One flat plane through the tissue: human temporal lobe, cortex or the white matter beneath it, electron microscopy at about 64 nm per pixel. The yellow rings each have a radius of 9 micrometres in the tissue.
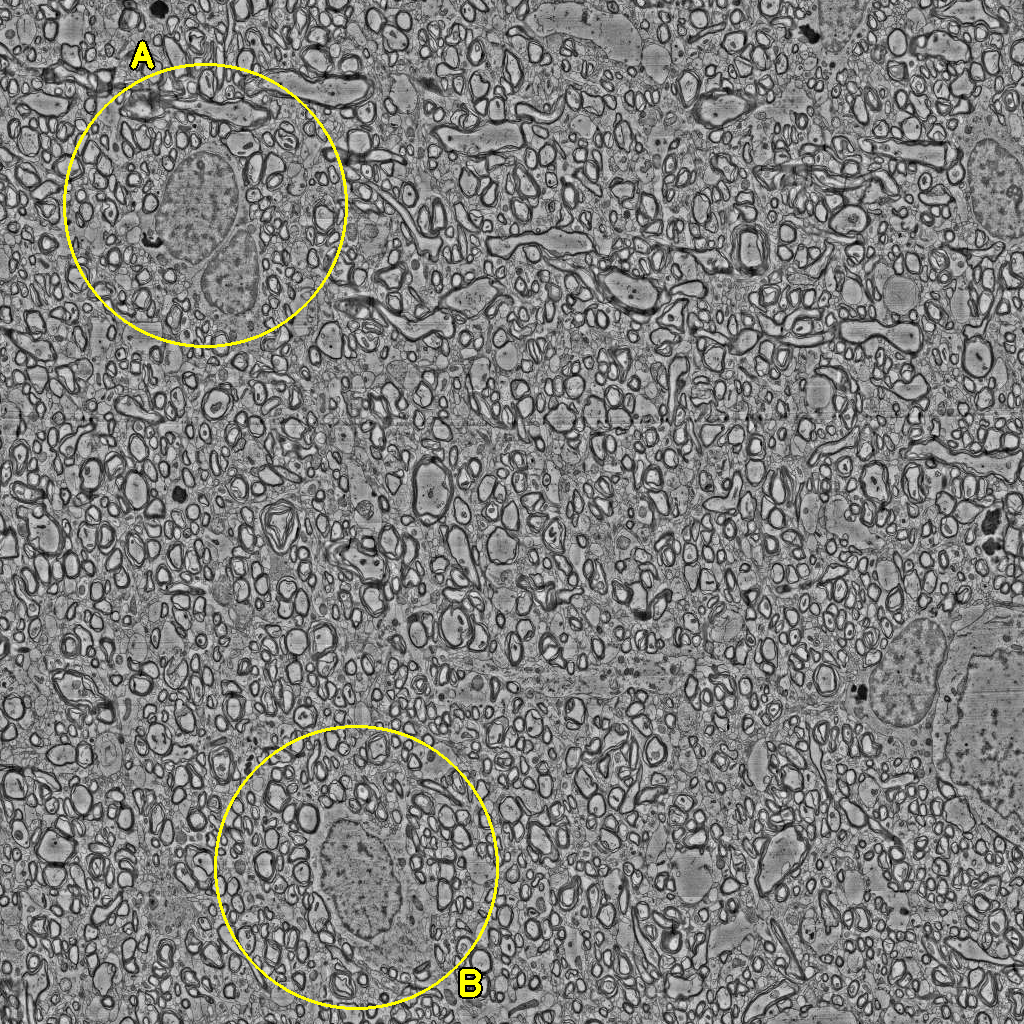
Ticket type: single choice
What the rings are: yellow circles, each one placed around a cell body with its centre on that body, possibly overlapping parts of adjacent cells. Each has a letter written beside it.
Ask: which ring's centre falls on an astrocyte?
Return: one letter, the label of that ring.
B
